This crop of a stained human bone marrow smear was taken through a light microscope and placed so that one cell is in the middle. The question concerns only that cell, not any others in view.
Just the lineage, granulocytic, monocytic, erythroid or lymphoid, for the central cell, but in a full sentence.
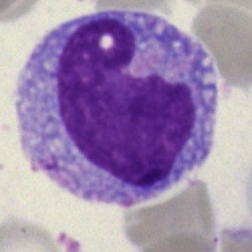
The lineage to which the central cell belongs is monocytic.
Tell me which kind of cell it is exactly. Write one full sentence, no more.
Looking at the middle of the crop, the cell there is a monocyte.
